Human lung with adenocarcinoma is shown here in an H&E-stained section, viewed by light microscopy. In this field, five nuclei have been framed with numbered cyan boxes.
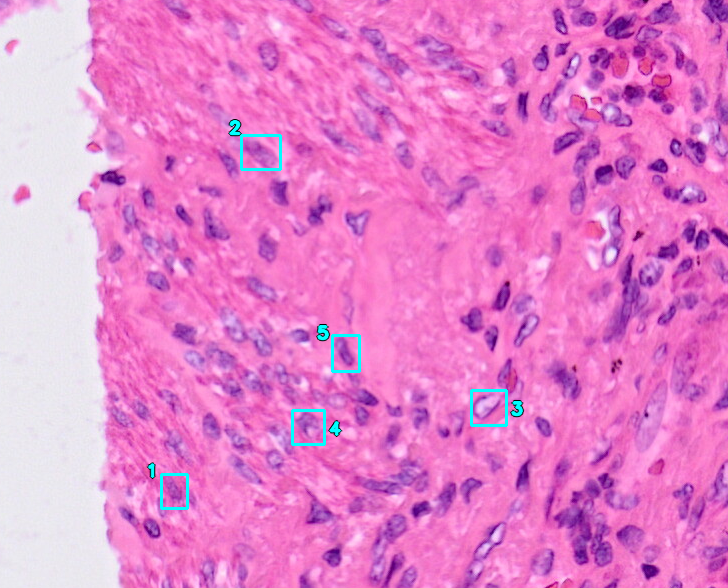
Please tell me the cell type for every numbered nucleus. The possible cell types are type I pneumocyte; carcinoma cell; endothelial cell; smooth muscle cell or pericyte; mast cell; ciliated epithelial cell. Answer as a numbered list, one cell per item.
1. smooth muscle cell or pericyte
2. smooth muscle cell or pericyte
3. endothelial cell
4. smooth muscle cell or pericyte
5. mast cell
